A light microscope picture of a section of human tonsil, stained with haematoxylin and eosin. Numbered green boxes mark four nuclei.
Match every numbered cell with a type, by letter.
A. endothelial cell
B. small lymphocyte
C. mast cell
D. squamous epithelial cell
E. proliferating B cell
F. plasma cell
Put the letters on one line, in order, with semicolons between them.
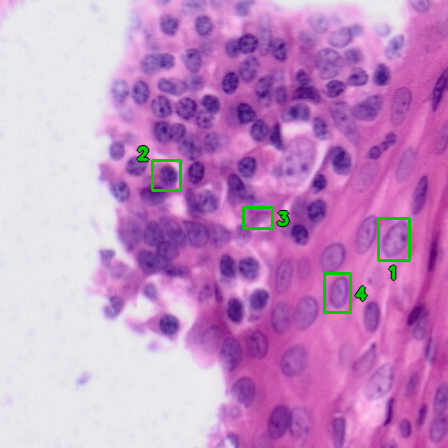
D; F; D; D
